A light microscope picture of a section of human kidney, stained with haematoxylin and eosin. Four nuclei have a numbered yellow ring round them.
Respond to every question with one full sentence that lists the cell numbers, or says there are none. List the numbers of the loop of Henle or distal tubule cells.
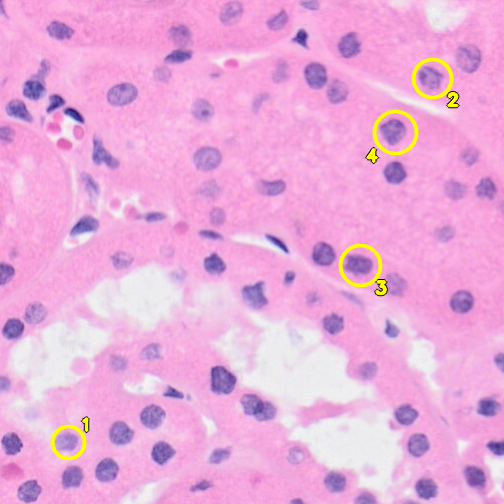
Cell 1 alone, of all the numbered cells, is a loop of Henle or distal tubule cell.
